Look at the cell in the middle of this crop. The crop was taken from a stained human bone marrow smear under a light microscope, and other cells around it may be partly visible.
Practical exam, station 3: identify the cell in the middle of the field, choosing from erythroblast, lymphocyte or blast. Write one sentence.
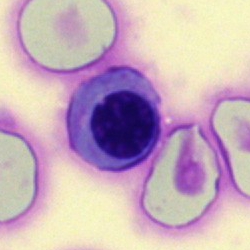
The middle position in this crop is taken by an erythroblast.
